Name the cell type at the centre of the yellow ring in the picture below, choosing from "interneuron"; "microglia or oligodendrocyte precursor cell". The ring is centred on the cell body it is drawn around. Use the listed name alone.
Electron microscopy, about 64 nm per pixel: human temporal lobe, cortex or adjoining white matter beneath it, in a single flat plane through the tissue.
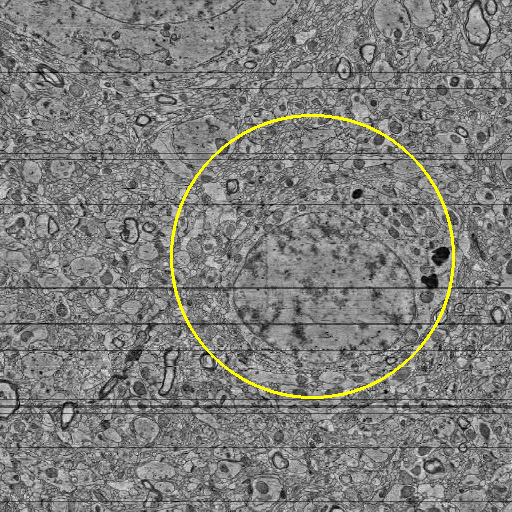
interneuron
